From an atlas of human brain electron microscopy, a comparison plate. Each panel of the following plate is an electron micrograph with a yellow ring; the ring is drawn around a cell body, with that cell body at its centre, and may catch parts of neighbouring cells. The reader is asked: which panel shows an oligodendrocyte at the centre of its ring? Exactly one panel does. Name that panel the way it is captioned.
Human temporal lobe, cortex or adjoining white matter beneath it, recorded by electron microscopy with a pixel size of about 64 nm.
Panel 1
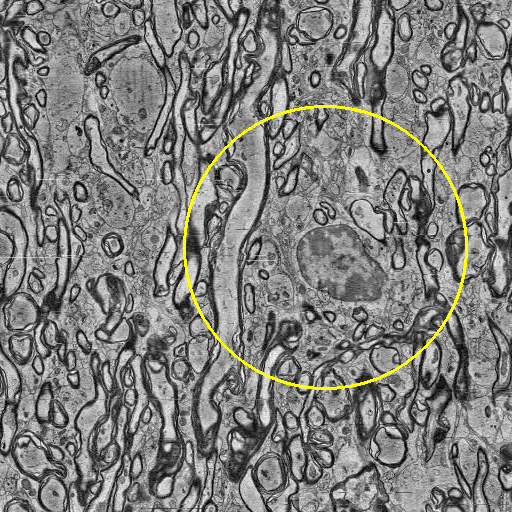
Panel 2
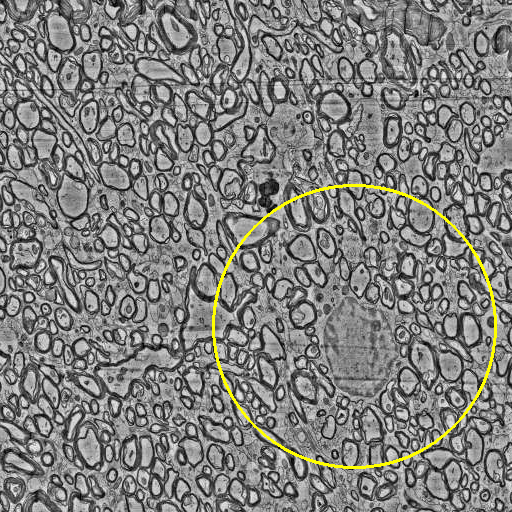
Panel 2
